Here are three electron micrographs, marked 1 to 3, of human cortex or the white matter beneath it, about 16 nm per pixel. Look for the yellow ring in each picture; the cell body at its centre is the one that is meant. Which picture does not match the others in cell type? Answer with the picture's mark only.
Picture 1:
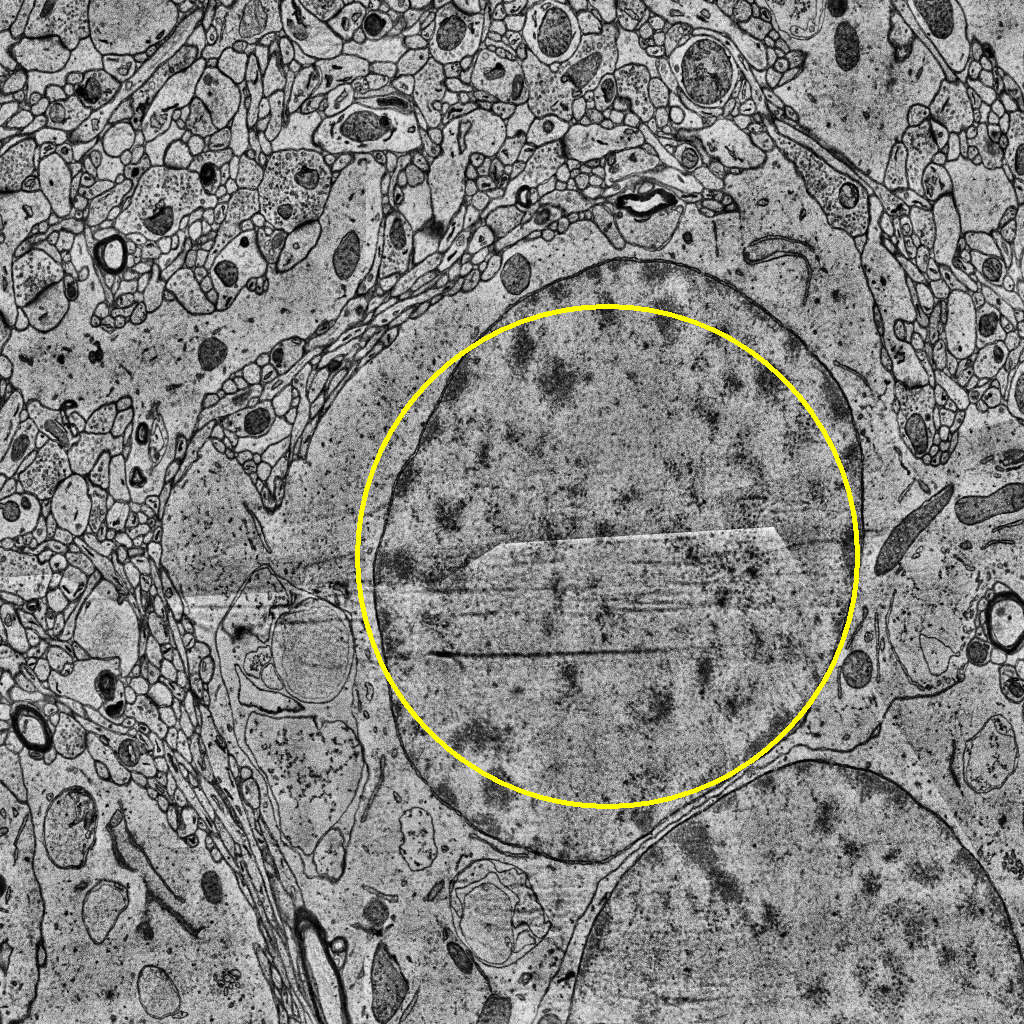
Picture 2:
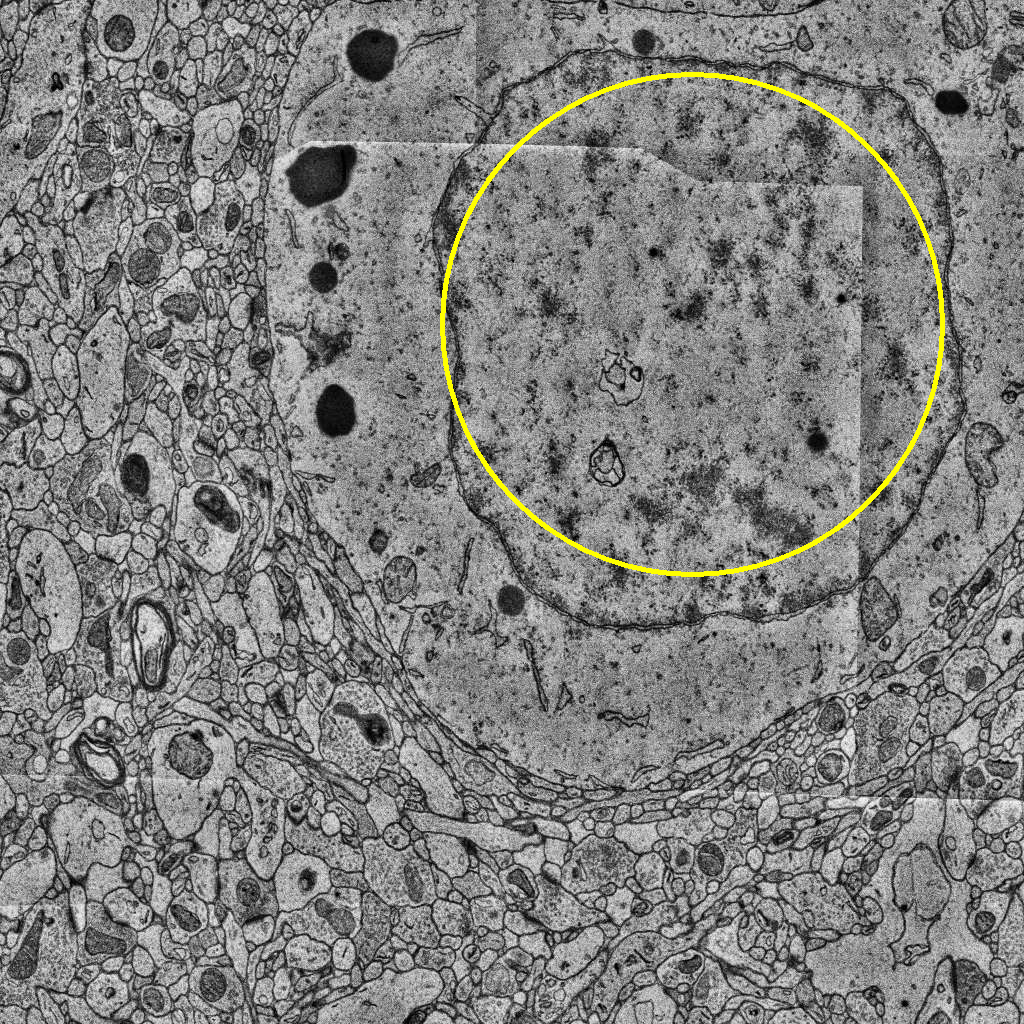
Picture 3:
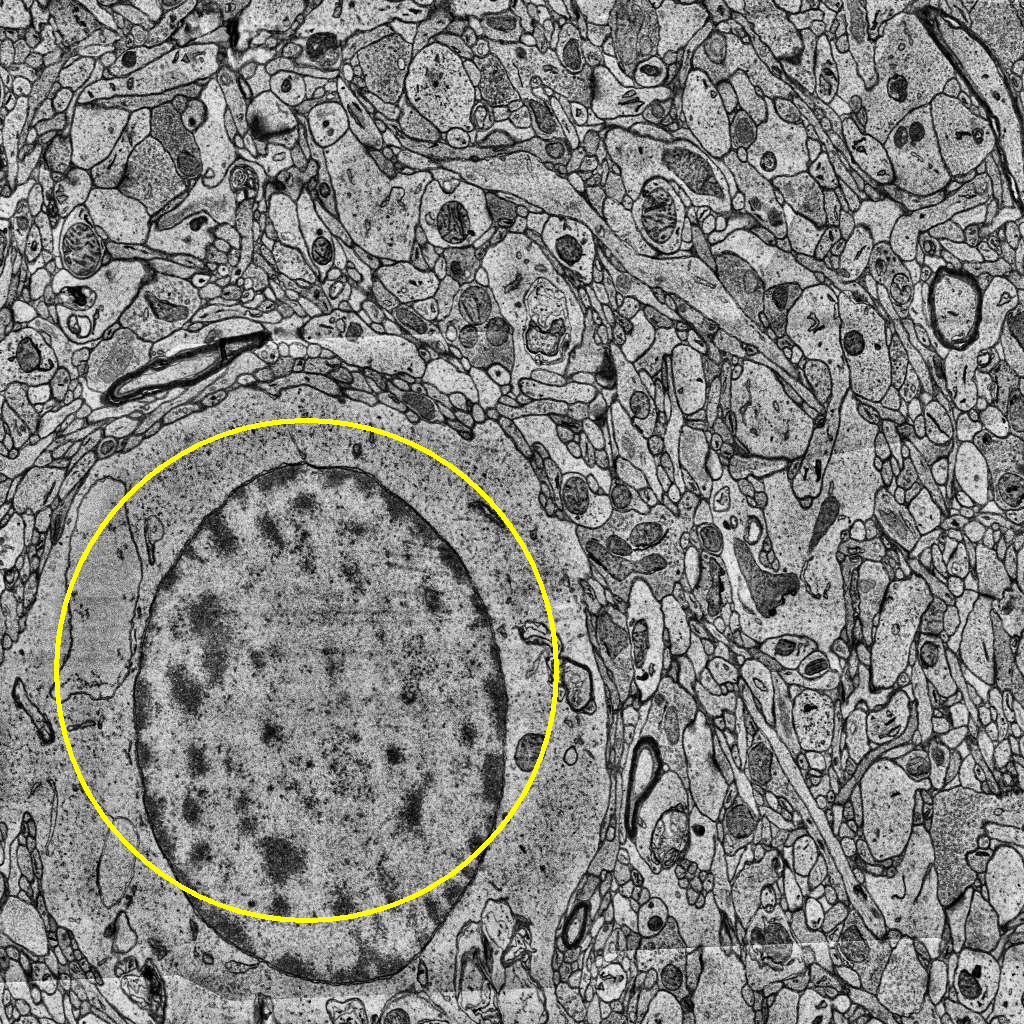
2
